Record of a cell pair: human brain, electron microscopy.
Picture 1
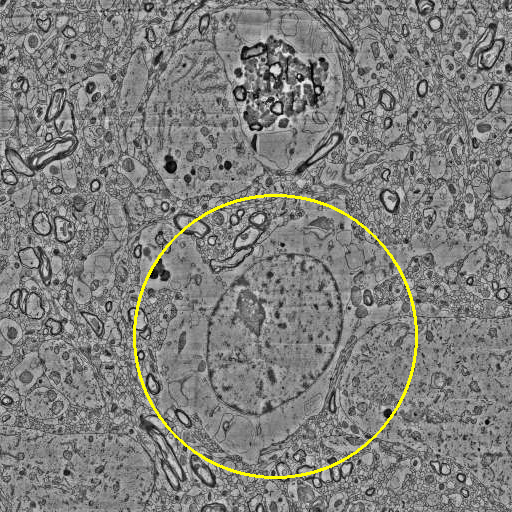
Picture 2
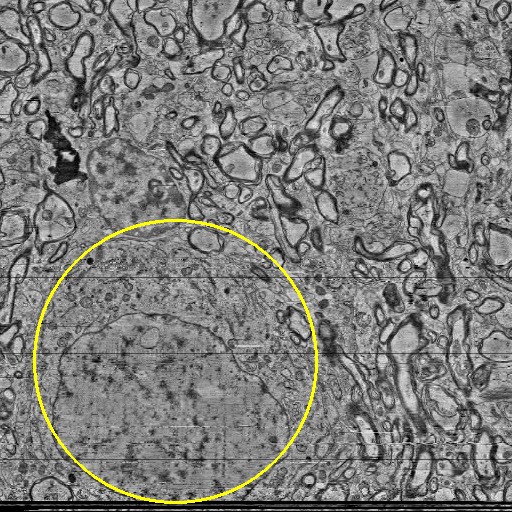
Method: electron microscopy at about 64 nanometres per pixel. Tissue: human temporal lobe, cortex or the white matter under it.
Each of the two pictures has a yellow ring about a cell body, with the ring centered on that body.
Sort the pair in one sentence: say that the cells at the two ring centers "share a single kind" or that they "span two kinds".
The cells centered in the rings of Pictures 1 and 2 span two kinds.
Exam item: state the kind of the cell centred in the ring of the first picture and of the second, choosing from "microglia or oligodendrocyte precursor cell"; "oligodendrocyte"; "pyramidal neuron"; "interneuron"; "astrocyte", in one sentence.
The first picture shows an astrocyte at the ring centre and the second shows a pyramidal neuron.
